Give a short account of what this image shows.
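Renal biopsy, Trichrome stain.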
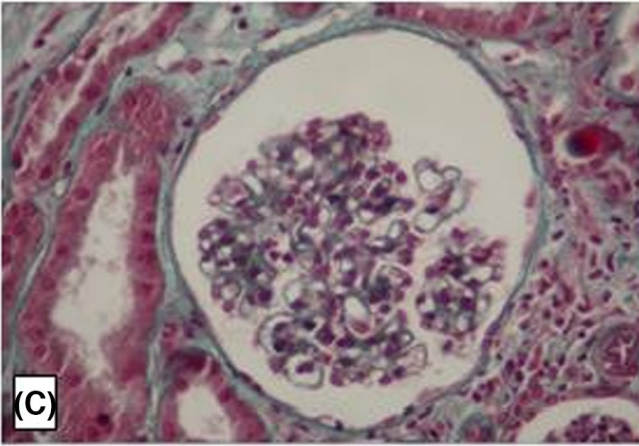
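A glomerulus lies within a wide clear urinary space bounded by a thin capsule, surrounded by kidney tubules and interstitium. Its capillary tuft shows open, thin-walled loops with scattered purple nuclei, while neighbouring tubules have pink cytoplasm and the interstitium around holds scattered nucleated cells.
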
